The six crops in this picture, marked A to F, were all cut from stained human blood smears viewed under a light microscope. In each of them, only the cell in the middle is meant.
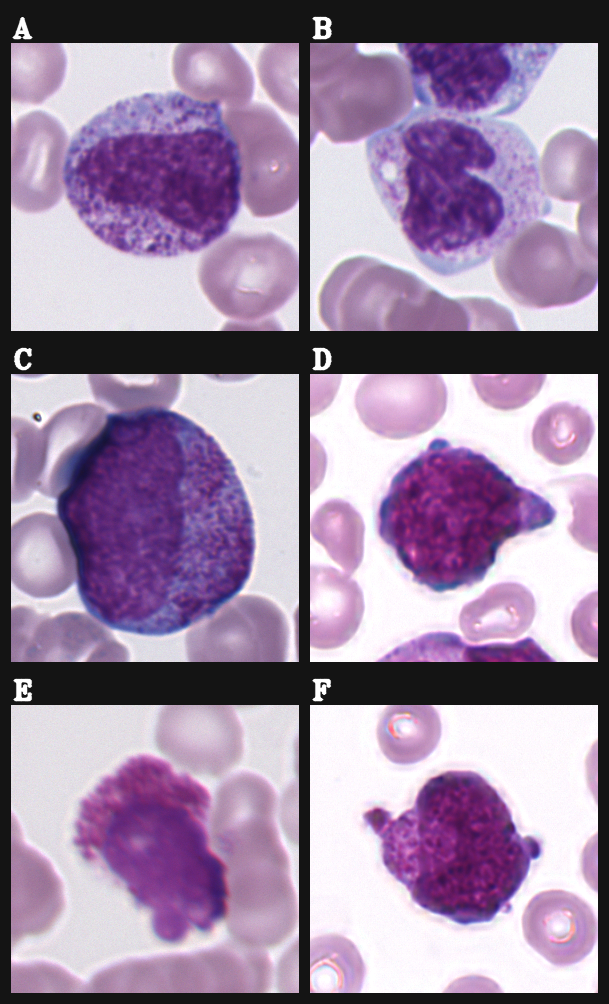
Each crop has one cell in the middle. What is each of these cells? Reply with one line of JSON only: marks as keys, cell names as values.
{"A": "myelocyte", "B": "band neutrophil", "C": "promyelocyte", "D": "atypical promyelocyte", "E": "eosinophil", "F": "atypical promyelocyte"}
